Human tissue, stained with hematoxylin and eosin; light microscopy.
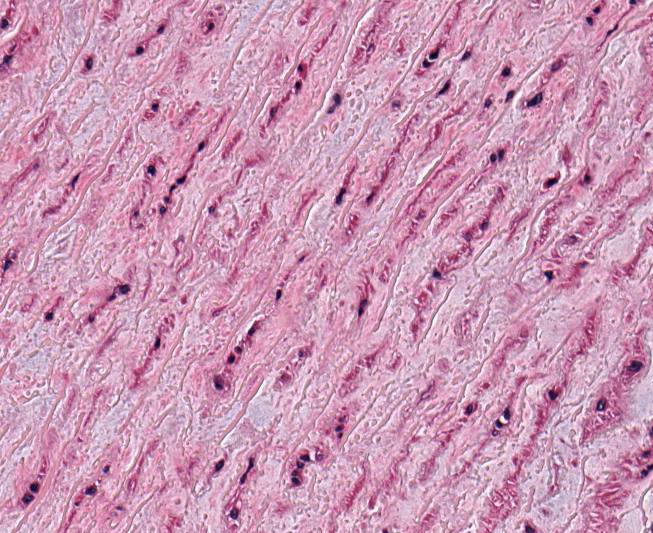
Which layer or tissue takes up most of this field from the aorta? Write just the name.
tunica media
